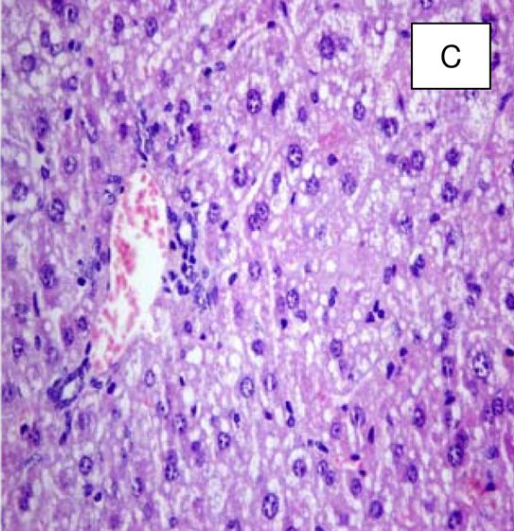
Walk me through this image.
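This is liver with hepatocytes arranged in plates, each with a round, purple nucleus and pale violet cytoplasm. Scattered small clear vacuoles appear in many hepatocytes, giving the cytoplasm a finely bubbly look, though large vacuoles are few. On the left a vessel holds red blood cells, and next to it sits a small group of dark, closely packed nuclei, an inflammatory infiltrate. Elsewhere the hepatocyte nuclei are evenly distributed and the tissue looks fairly orderly.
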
